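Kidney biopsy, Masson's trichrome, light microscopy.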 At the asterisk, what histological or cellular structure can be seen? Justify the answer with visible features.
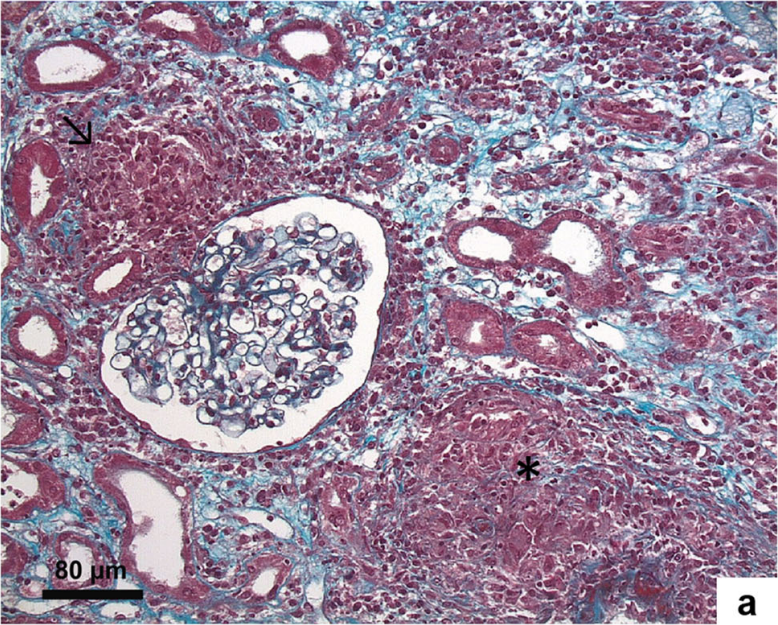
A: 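The asterisk lies on a large nodular aggregate of plump pale-red cells. The aggregate is solid, without a central necrotic area. On this evidence: non caseating granulomas.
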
